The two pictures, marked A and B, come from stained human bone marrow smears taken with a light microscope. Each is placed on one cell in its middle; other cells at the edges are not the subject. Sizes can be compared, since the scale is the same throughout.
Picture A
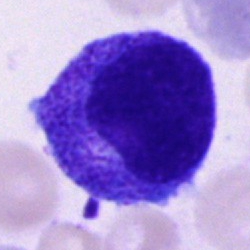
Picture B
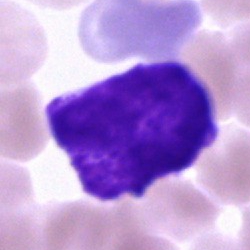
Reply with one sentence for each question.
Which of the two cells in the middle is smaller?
The cell in picture B is smaller; the one in picture A has about 1.5 times its area.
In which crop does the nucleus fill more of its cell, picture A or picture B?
The nucleus fills more of the cell in picture B than in picture A.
